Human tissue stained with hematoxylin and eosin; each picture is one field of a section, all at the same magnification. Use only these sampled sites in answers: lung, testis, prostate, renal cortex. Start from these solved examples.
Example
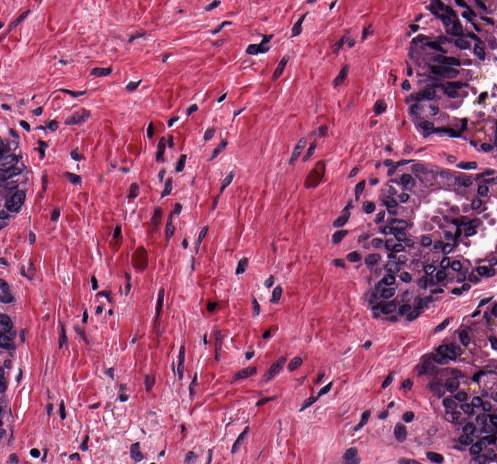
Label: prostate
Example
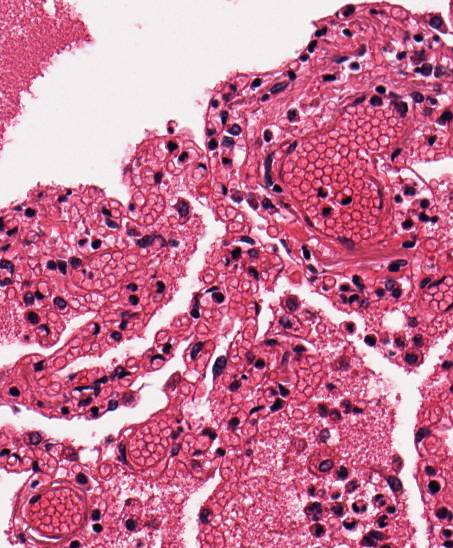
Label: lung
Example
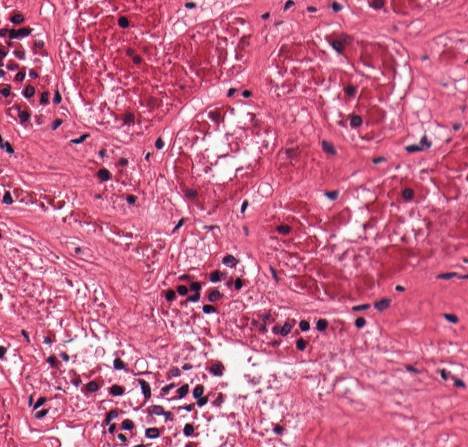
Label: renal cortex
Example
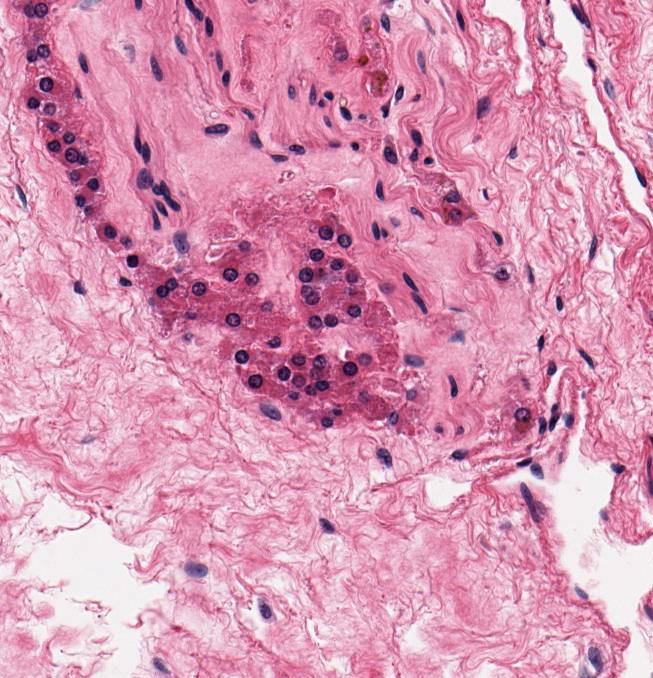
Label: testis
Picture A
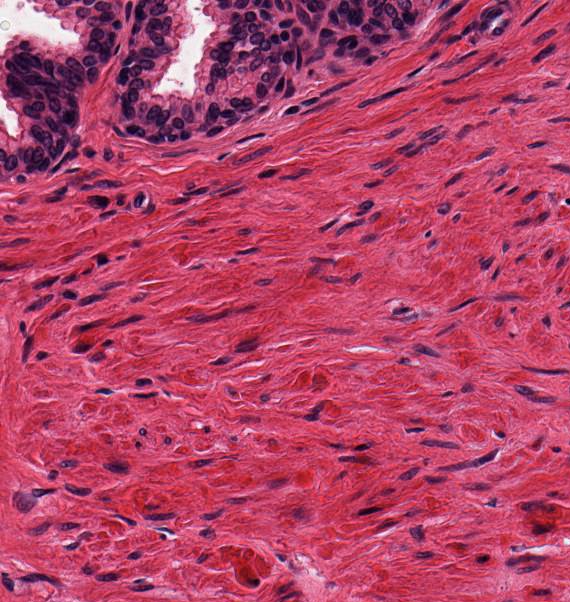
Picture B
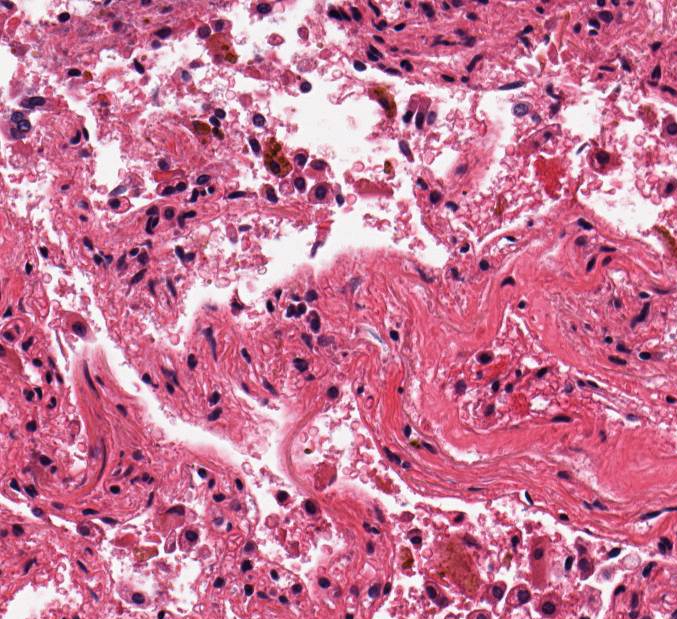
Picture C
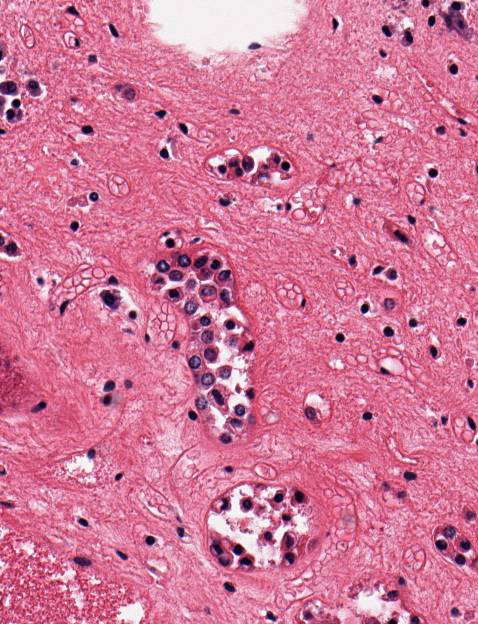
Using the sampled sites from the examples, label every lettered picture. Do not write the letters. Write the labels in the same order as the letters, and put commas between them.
prostate, lung, renal cortex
